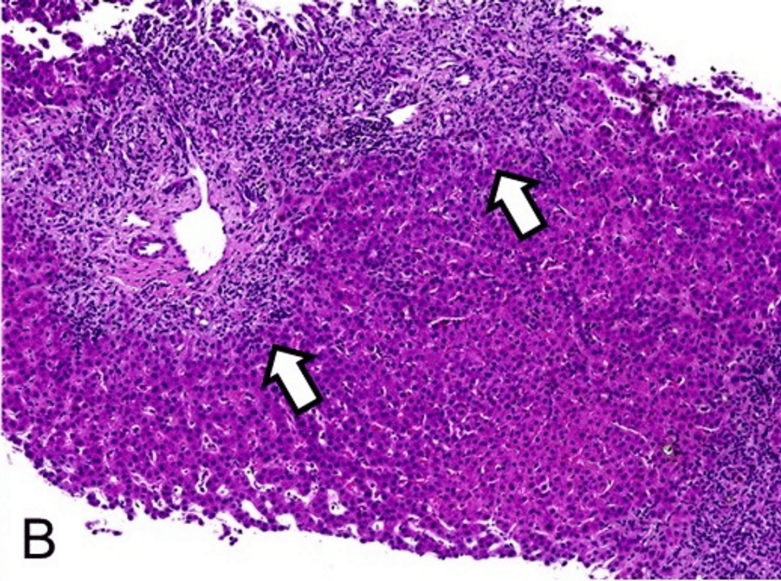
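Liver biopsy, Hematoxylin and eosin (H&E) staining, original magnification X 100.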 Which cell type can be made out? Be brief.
lymphocytes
